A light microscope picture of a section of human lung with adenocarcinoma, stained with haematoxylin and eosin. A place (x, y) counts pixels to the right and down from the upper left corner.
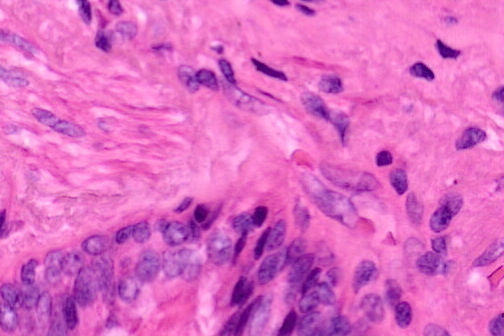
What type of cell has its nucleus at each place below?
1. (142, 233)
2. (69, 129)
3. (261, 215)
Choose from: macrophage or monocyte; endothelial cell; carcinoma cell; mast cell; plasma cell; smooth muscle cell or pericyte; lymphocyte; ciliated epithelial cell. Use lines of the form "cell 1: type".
cell 1: ciliated epithelial cell
cell 2: smooth muscle cell or pericyte
cell 3: ciliated epithelial cell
